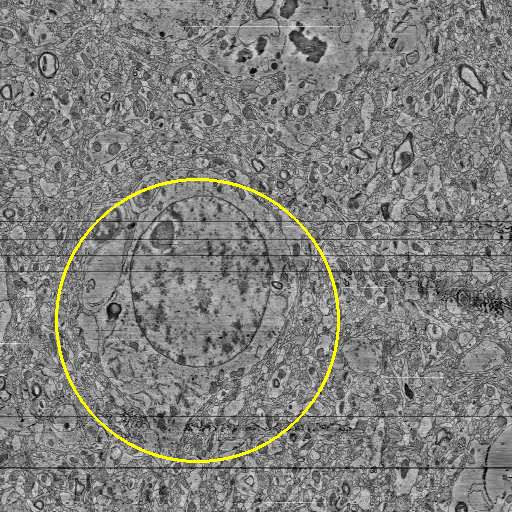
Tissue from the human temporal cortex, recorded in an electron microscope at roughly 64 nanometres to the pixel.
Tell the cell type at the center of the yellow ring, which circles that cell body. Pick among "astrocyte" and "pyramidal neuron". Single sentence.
The ring is centered on the body of a pyramidal neuron.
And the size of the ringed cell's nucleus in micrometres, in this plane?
Roughly 11 micrometres by 9 micrometres, in this plane.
